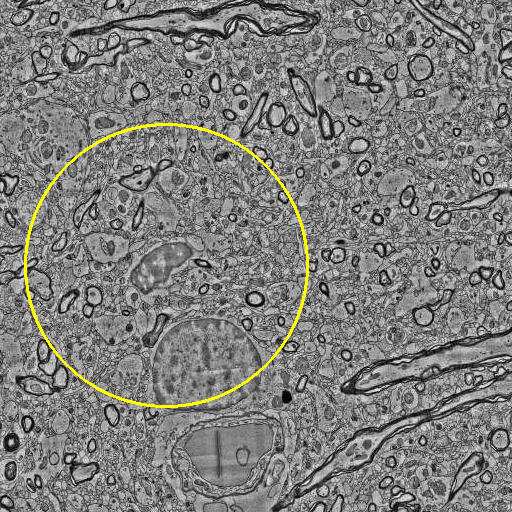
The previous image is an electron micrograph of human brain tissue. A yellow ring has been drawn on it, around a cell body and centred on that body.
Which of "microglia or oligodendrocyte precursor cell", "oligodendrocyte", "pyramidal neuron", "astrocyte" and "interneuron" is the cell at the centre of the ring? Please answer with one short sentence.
The cell body at the centre of the ring belongs to a microglial cell or oligodendrocyte precursor cell.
